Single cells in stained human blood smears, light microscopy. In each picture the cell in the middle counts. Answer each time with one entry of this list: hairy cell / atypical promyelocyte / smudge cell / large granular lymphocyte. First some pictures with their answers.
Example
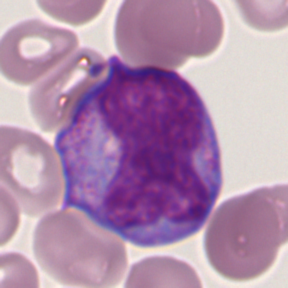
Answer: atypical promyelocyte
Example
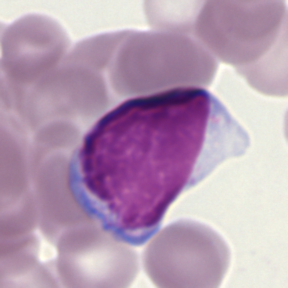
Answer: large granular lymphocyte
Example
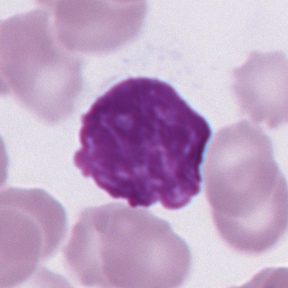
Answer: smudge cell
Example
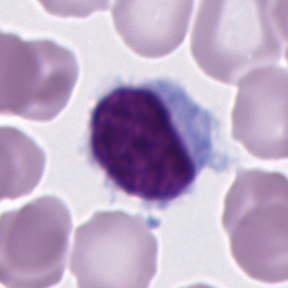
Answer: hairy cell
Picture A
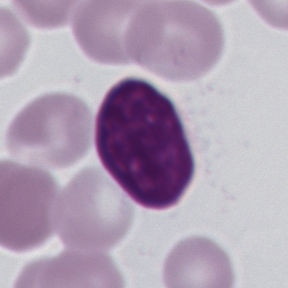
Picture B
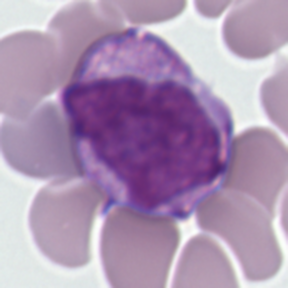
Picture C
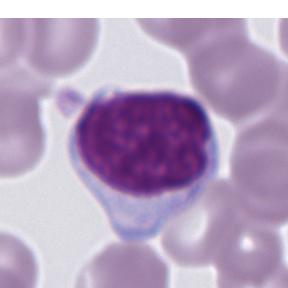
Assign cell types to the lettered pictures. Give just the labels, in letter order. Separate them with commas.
smudge cell, atypical promyelocyte, large granular lymphocyte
